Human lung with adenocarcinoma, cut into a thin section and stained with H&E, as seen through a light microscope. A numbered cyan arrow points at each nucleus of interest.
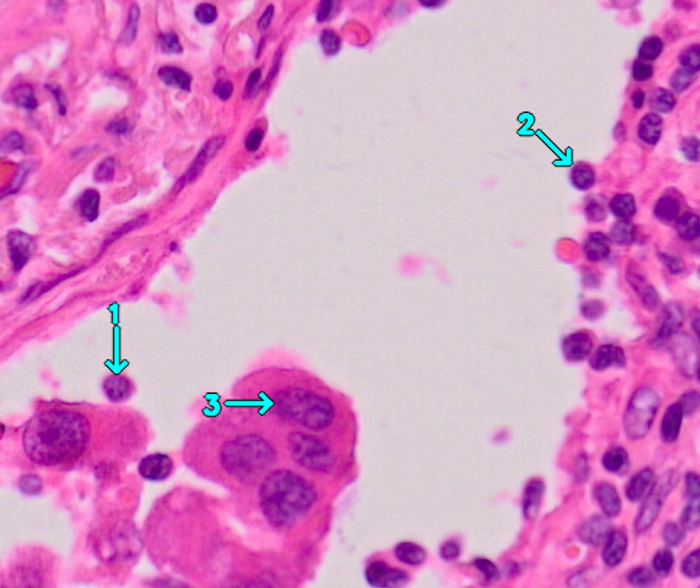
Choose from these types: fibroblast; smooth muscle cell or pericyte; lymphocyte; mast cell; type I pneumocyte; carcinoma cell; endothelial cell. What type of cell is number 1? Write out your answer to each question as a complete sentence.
The cell identified by the number 1 is a lymphocyte.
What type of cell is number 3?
The numbered cell 3 in this field is a carcinoma cell.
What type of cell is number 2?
The cell that is numbered 2 is a lymphocyte.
